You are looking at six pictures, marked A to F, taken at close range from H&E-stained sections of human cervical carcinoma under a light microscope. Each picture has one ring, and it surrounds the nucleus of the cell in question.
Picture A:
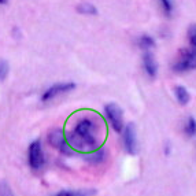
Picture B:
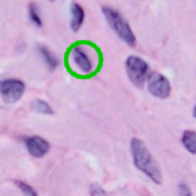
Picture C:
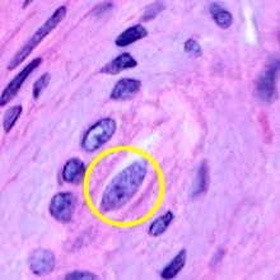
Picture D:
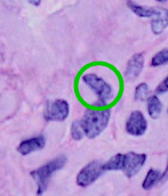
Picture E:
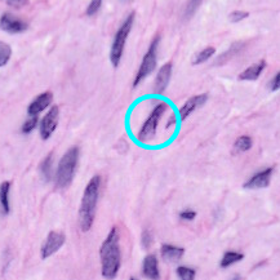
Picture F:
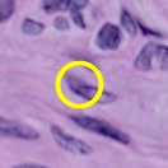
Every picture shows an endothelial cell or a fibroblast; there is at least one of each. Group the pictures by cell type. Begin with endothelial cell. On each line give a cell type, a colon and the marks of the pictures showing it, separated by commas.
endothelial cell: A, C
fibroblast: B, D, E, F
